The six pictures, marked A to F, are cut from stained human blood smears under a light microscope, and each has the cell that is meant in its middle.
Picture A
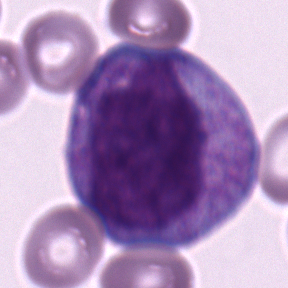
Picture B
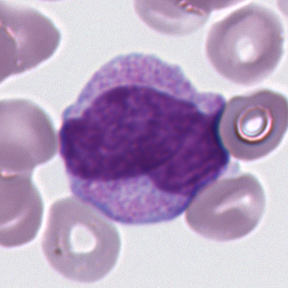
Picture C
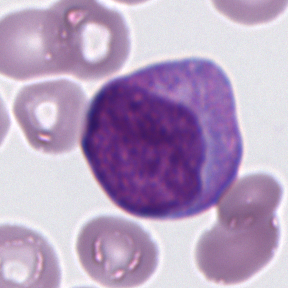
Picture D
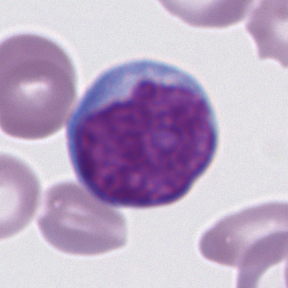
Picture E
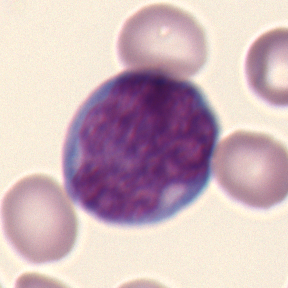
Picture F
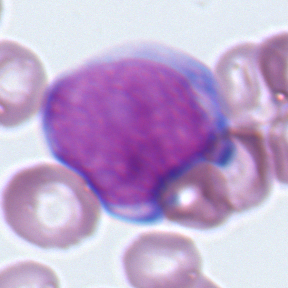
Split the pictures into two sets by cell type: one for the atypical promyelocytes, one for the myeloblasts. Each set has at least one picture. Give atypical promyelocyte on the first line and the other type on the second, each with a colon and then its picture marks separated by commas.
atypical promyelocyte: A, B, C
myeloblast: D, E, F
